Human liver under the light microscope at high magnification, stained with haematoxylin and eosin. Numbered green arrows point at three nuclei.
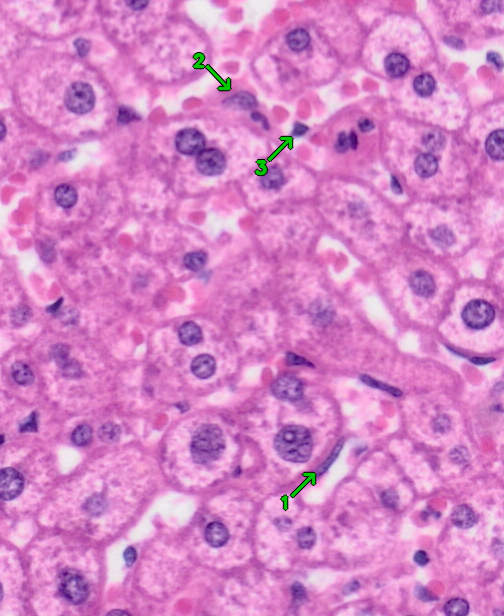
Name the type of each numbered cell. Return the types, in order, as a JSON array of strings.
["Kupffer cell", "Kupffer cell", "lymphocyte"]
